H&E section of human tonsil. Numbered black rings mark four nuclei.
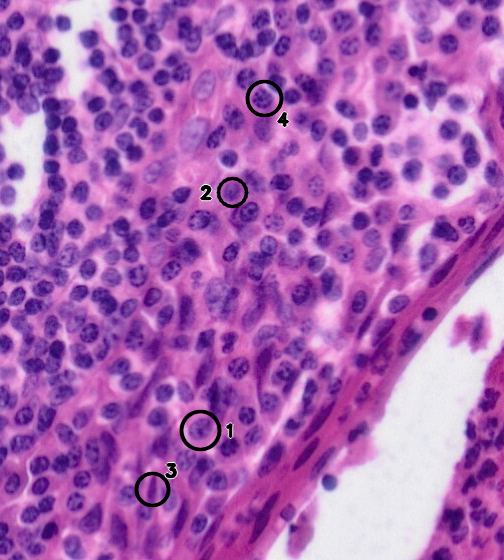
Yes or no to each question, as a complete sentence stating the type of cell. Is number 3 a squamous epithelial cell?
Yes, the cell at the mark numbered 3 is a squamous epithelial cell.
